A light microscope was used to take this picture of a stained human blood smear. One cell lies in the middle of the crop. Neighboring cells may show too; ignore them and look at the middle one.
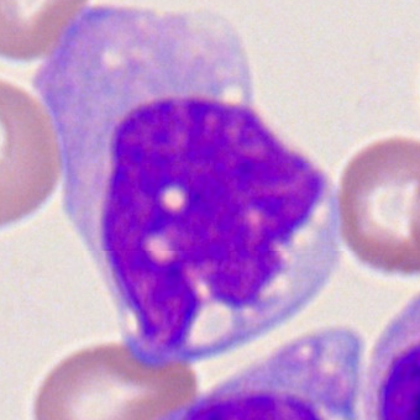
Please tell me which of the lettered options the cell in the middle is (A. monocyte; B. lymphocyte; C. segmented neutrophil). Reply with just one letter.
A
